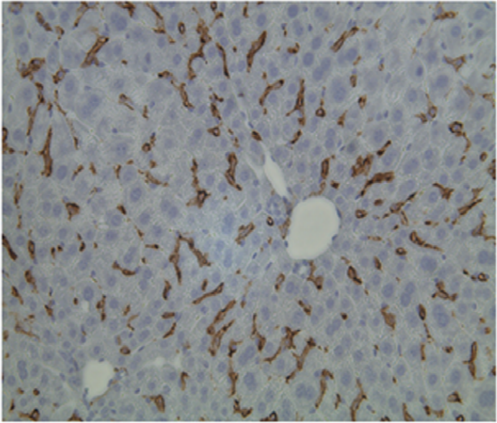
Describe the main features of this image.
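Large polygonal hepatocytes with round, pale blue nuclei form plates that run toward a central vein, an open round space near the middle. Between the plates lie narrow sinusoids, and within them sit many slender, irregular brown cells with stretched, branching outlines, much smaller than the hepatocytes. They are spread evenly across the field, hugging the sinusoid walls rather than lying inside the hepatocyte plates. A second smaller vessel opens at the lower left.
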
